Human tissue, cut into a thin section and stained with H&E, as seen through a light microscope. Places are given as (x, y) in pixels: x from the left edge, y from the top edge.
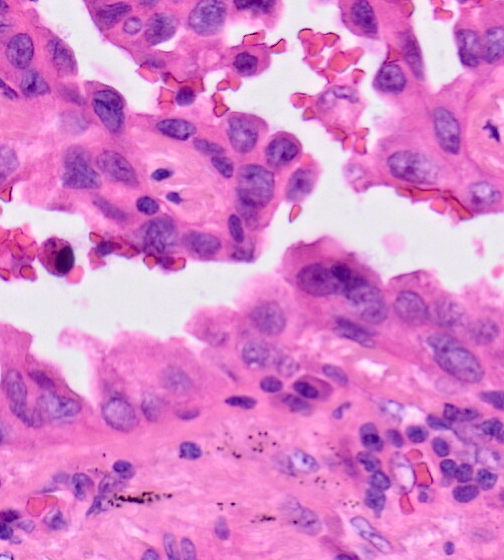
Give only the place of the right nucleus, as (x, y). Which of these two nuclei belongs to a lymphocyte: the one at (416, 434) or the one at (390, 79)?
(416, 434)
